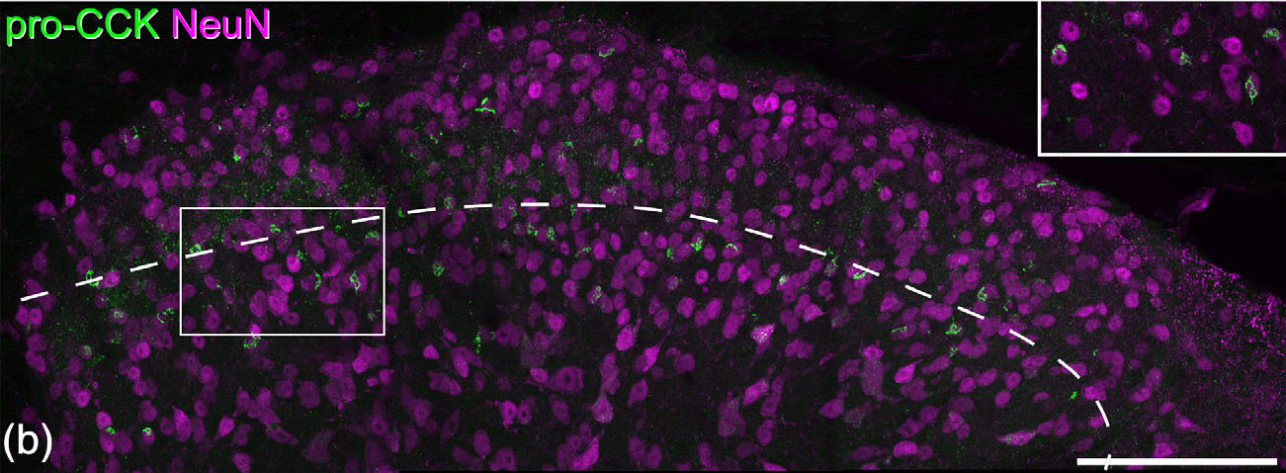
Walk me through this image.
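This is a section of the spinal dorsal horn, in which the magenta labeling outlines the round somata and nuclei of densely packed neurons. The neurons are small and crowded in the superficial band beneath the curved dorsal surface and appear somewhat larger and more loosely spaced deeper in the section. A minority of neurons carry green labeling, seen as bright, irregular, crescent-like or ring-like profiles wrapped around a magenta nucleus. These green cells are scattered through the superficial laminae and are especially frequent around and just below the dashed line.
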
